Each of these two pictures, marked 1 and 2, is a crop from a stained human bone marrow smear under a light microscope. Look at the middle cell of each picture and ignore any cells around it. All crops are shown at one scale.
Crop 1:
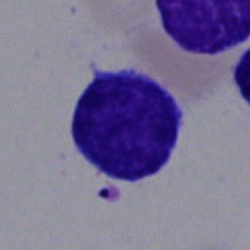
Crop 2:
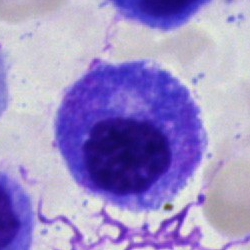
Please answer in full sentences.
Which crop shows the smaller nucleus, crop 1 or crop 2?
It is the nucleus in crop 2; the one in crop 1 has about 1.5 times its area.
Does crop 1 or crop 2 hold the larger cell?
It is the cell in crop 2, about 1.5 times as large in area as the cell in crop 1.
